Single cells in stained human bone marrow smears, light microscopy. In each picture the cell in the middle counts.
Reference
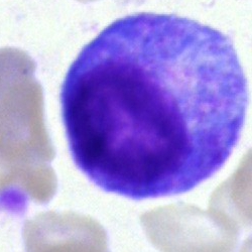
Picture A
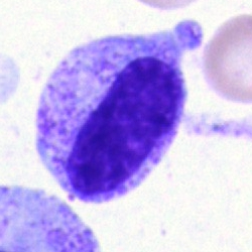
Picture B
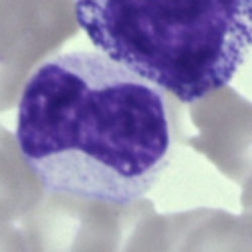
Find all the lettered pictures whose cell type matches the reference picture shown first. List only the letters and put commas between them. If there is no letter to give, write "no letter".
no letter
